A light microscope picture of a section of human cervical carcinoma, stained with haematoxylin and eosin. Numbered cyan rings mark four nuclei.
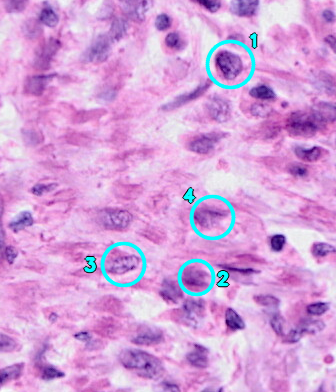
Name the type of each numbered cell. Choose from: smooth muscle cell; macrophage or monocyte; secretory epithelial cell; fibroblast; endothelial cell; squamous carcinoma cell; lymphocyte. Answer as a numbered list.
1. macrophage or monocyte
2. fibroblast
3. fibroblast
4. fibroblast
